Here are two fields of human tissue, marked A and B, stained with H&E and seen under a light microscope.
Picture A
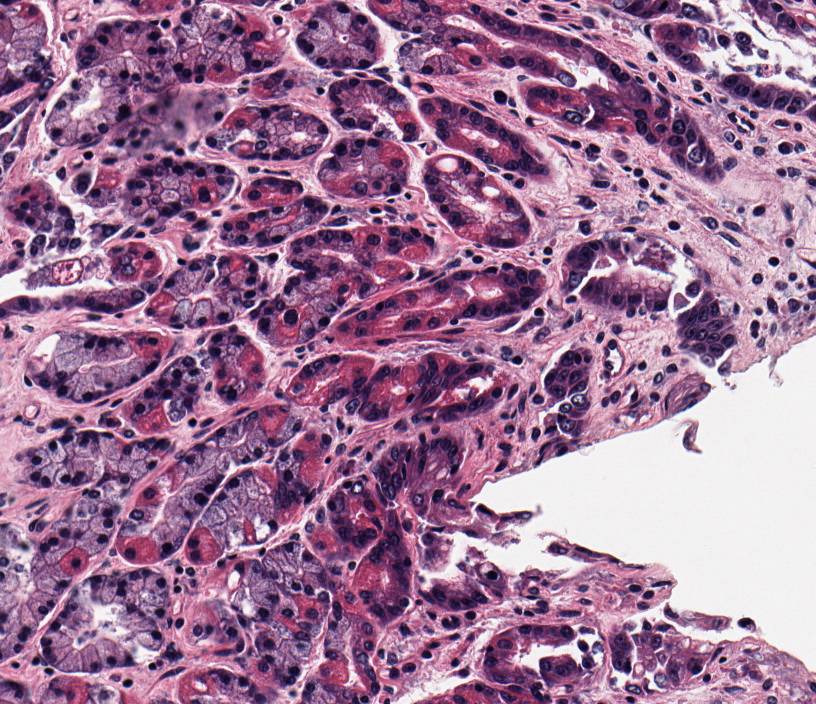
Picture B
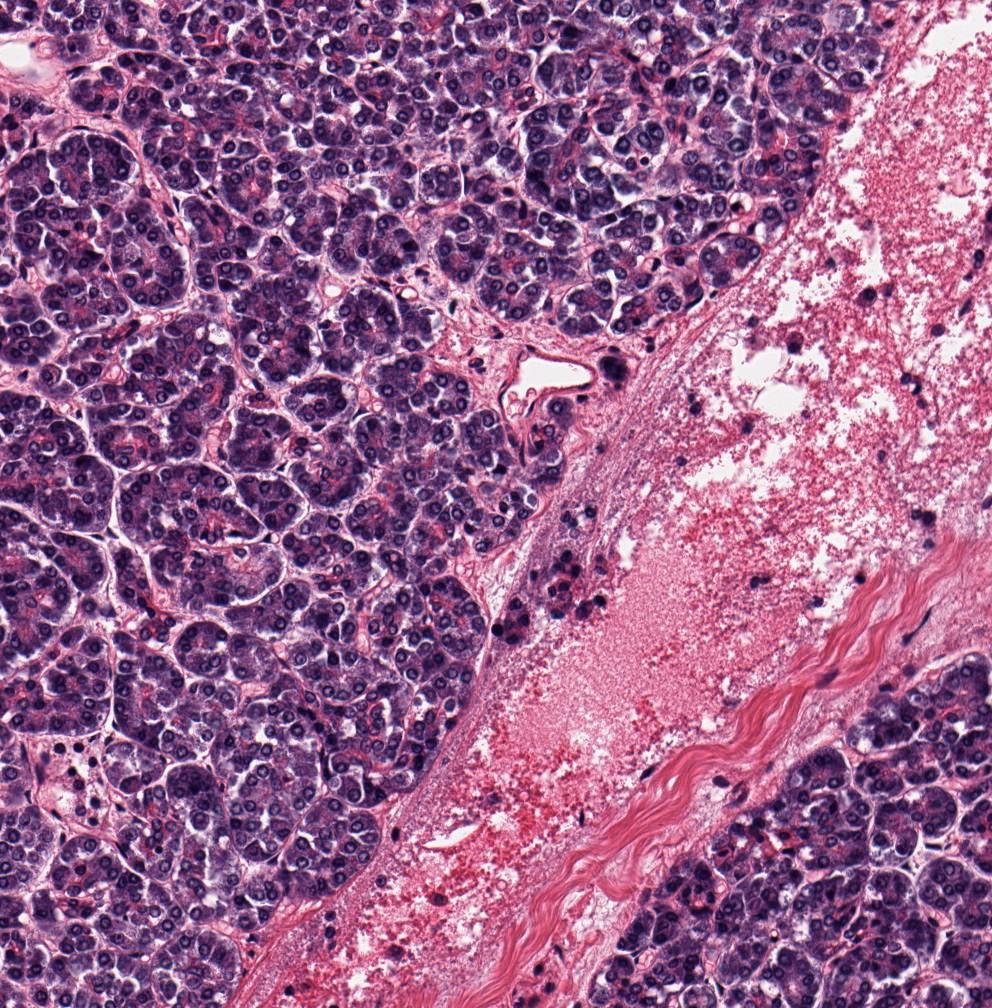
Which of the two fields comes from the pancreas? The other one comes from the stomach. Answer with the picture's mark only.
B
